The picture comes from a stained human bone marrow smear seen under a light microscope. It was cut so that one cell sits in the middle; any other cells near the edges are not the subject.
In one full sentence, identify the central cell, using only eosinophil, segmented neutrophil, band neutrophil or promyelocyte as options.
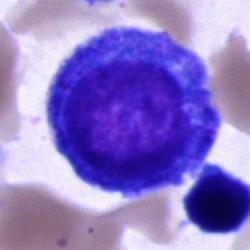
The cell at the middle of the crop is recognized as a promyelocyte.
